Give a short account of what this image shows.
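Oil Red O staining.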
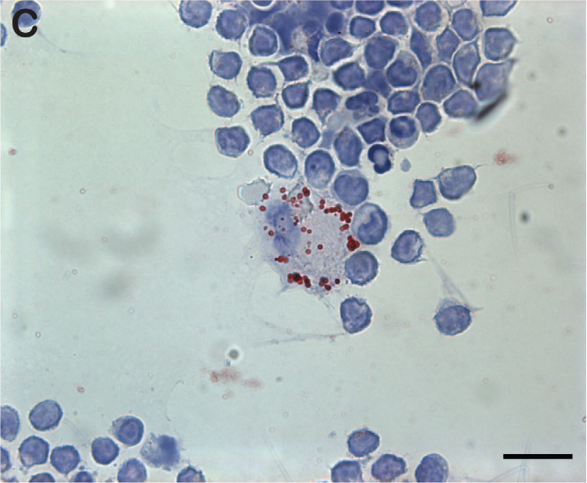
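The droplets are small, round, deep red and scattered through the pale, ill-defined cytoplasm, clustering toward its edges, while the nucleus stains pale blue. The small cells around it are round, tightly grouped in a cluster above and scattered below, each with a blue round nucleus filling most of the cell and only a thin rim of cytoplasm; none of them carry red droplets. The background is clear and pale, crossed by a few thin faint strands.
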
